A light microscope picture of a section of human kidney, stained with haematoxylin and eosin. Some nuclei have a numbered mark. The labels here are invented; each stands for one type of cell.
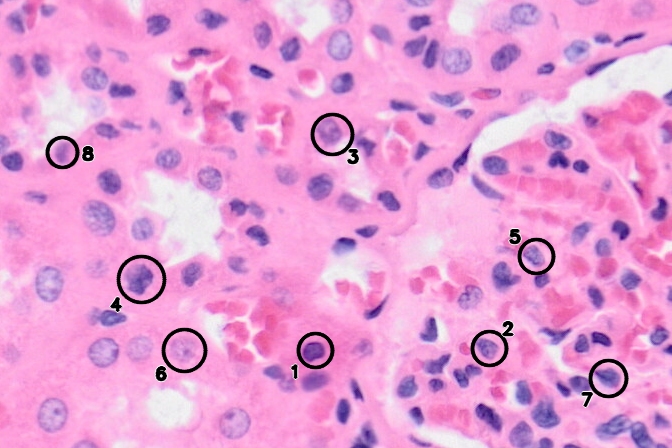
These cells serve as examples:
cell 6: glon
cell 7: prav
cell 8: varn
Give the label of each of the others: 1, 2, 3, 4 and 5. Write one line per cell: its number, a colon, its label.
1: glon
2: prav
3: varn
4: varn
5: prav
